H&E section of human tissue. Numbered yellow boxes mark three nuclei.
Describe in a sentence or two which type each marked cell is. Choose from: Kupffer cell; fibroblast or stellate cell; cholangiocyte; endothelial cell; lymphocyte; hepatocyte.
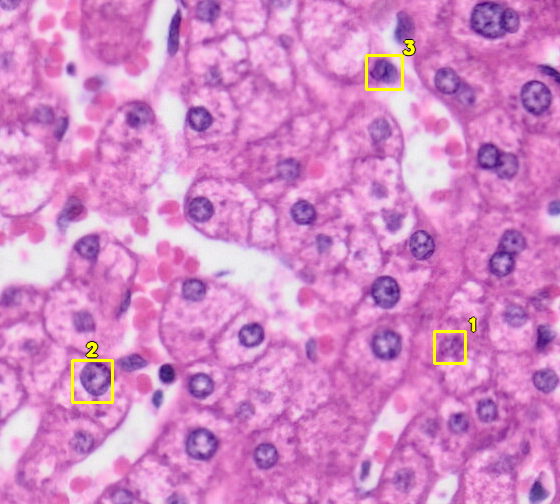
Cell 1 is a hepatocyte, cell 2 is a hepatocyte and cell 3 is a Kupffer cell.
